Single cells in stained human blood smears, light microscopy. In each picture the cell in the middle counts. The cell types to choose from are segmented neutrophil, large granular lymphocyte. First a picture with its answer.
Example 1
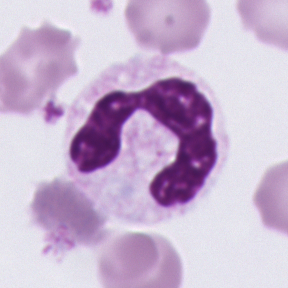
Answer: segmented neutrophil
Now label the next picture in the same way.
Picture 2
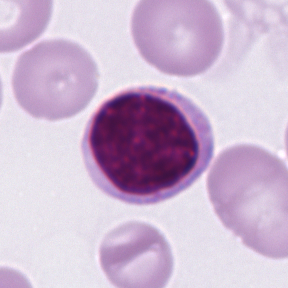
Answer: large granular lymphocyte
